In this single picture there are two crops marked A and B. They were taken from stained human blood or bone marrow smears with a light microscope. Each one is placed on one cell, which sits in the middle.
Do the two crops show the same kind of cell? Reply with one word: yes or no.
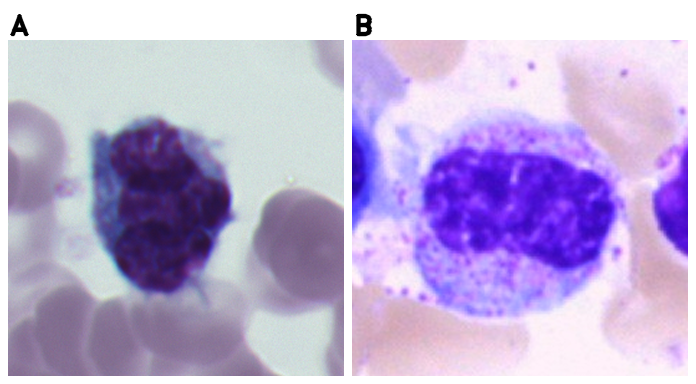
no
